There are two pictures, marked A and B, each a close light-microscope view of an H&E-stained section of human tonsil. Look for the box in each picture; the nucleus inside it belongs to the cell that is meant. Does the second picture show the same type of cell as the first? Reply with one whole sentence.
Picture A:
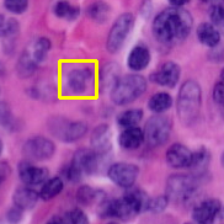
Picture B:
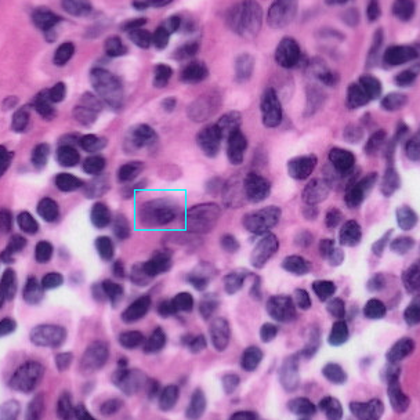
Yes, they are the same type: both are endothelial cells.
